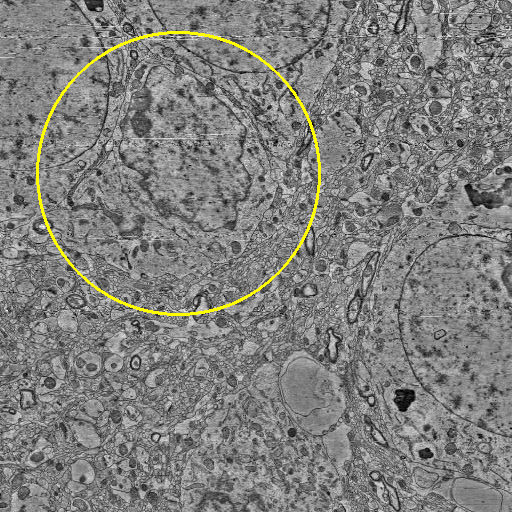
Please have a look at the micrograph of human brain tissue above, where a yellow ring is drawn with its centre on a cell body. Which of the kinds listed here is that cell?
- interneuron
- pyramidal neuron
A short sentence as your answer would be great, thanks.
At the centre of the ring sits an interneuron.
